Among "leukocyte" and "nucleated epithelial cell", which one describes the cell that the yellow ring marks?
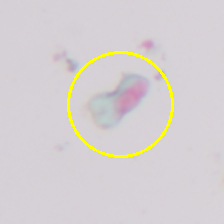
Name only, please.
nucleated epithelial cell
